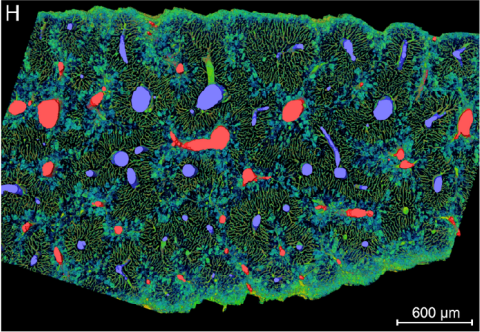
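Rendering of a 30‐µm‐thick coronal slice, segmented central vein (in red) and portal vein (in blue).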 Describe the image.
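A thin slab of liver tissue shows a network of fine yellow-green threads, the hepatic sinusoids, around scattered red and blue vessel cross-sections. The network is interrupted by many irregular blue-green patches and clusters spread between the vessels, and the edge of the slab is wavy and uneven.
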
